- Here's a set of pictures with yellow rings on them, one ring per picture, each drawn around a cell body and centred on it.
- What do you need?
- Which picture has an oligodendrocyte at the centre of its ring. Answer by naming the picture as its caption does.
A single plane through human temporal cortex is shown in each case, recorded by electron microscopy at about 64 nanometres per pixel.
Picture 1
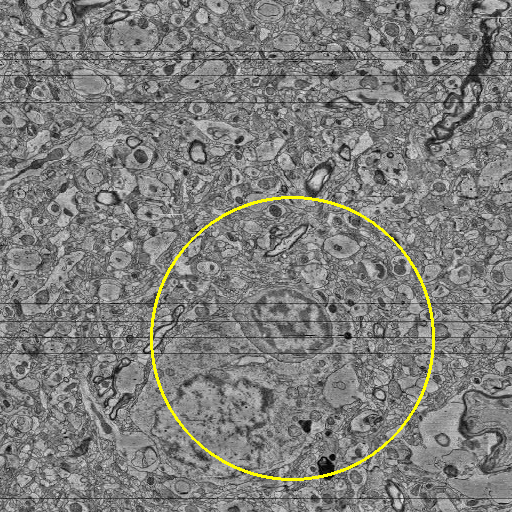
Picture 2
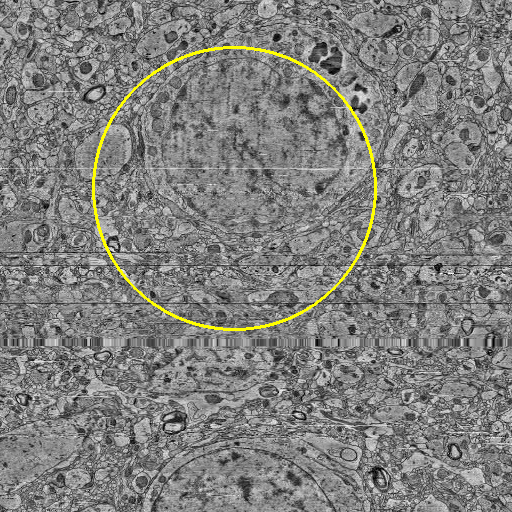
Picture 1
